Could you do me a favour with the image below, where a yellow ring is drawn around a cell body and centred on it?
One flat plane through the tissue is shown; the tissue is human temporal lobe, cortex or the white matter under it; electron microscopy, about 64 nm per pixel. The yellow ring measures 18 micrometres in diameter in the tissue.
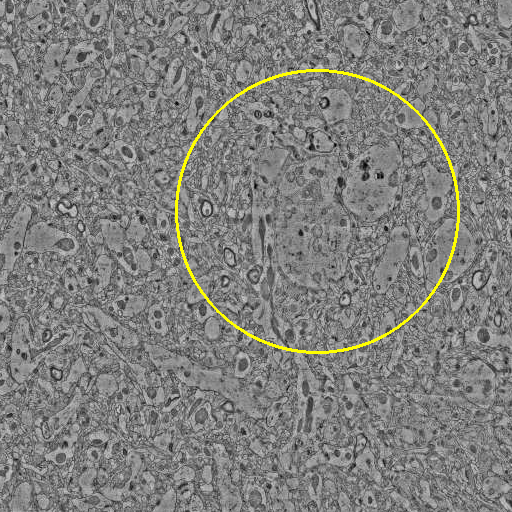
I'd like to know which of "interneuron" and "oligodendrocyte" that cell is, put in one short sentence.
The cell at the ring's centre is an interneuron.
